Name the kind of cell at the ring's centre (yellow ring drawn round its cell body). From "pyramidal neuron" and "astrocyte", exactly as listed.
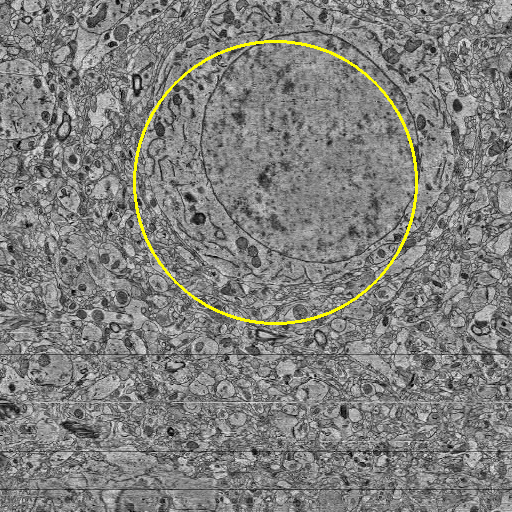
pyramidal neuron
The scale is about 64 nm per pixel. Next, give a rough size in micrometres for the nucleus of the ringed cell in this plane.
In this plane the ringed cell's nucleus is roughly 15 micrometres across.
